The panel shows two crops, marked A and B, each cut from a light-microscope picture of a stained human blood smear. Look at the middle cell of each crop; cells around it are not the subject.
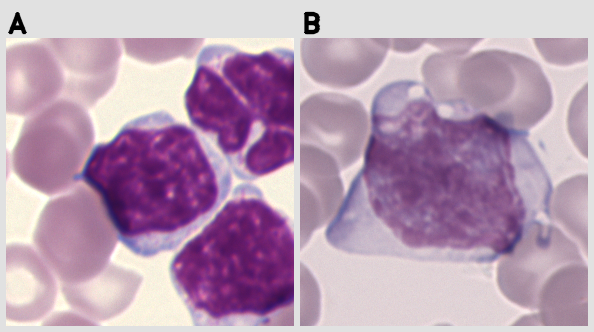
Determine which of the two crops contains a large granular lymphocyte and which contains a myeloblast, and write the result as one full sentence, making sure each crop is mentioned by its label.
Respectively, crops A and B show a large granular lymphocyte and a myeloblast.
